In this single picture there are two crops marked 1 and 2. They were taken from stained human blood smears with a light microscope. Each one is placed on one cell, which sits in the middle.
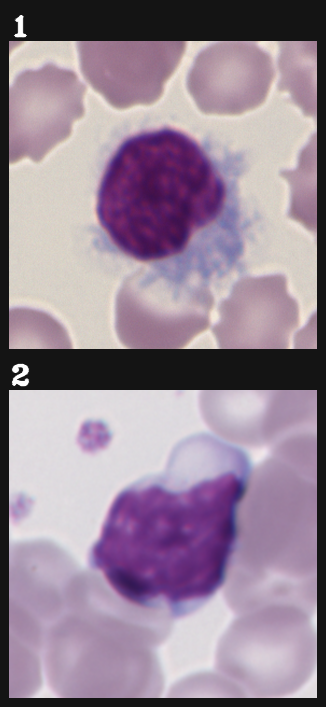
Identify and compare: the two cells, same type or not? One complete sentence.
No, crop 1 shows a hairy cell and crop 2 shows a large granular lymphocyte.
